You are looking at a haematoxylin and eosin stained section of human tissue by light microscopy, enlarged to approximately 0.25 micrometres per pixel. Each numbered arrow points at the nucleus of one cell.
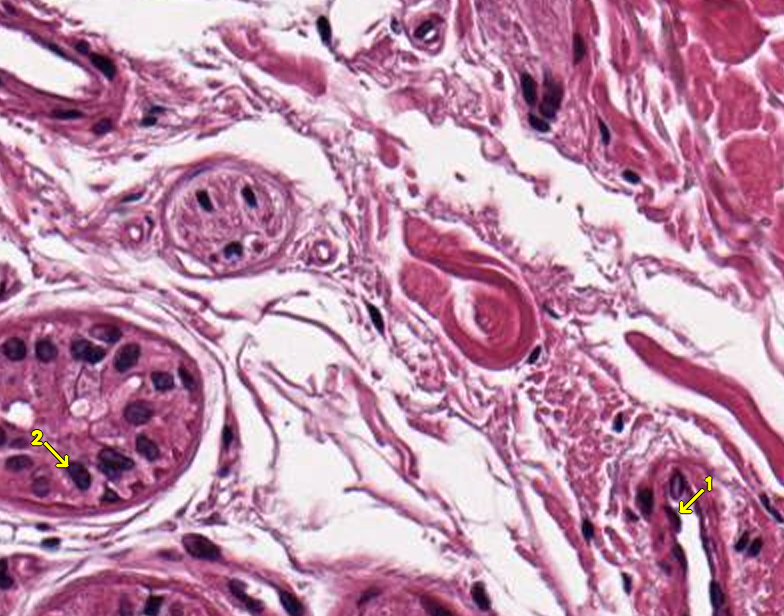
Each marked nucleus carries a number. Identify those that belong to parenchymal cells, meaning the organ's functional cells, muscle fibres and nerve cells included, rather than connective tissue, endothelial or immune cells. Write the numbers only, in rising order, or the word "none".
2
